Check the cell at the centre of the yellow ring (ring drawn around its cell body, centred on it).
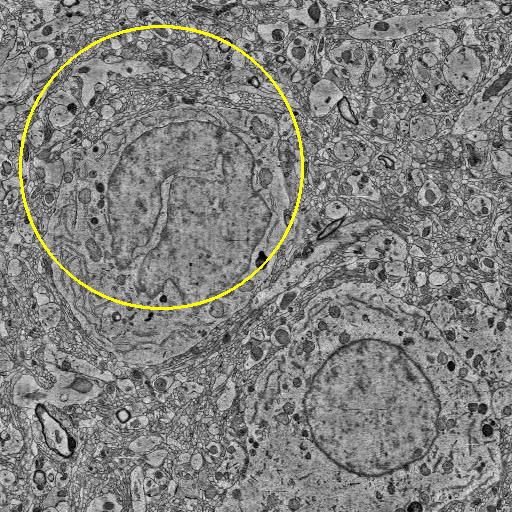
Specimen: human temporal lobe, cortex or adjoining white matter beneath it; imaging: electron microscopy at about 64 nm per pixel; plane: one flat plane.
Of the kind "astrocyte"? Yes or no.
no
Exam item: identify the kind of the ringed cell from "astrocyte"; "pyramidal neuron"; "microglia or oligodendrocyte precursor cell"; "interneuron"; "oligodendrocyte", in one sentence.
In this picture, the ring is centred on an interneuron.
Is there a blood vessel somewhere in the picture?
No.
